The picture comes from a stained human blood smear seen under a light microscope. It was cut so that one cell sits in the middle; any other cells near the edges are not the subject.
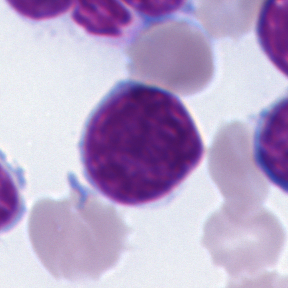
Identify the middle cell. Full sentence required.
The cell sitting right in the middle is a myeloblast.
